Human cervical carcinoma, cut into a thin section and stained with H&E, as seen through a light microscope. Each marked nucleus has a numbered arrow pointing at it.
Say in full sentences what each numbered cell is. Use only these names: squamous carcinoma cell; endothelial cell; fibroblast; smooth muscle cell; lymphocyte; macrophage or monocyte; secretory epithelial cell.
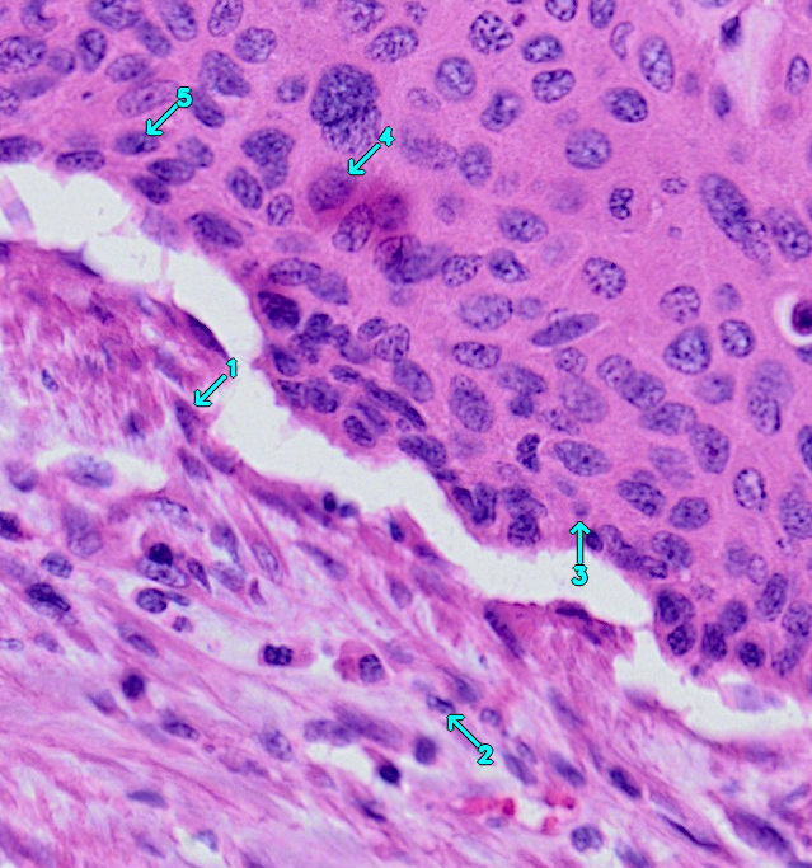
Cell 1 is a fibroblast, cell 2 is a lymphocyte, cell 3 is a squamous carcinoma cell, cell 4 is a squamous carcinoma cell and cell 5 is a squamous carcinoma cell.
